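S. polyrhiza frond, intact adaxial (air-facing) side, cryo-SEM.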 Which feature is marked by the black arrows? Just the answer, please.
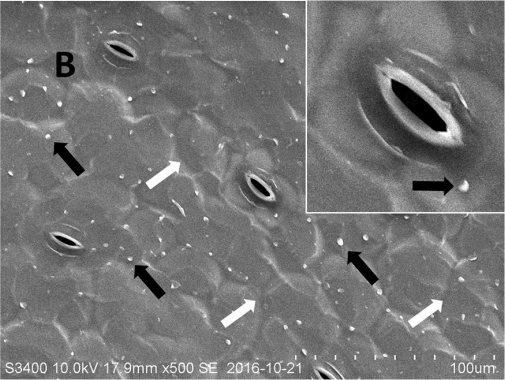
wax crystalloids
